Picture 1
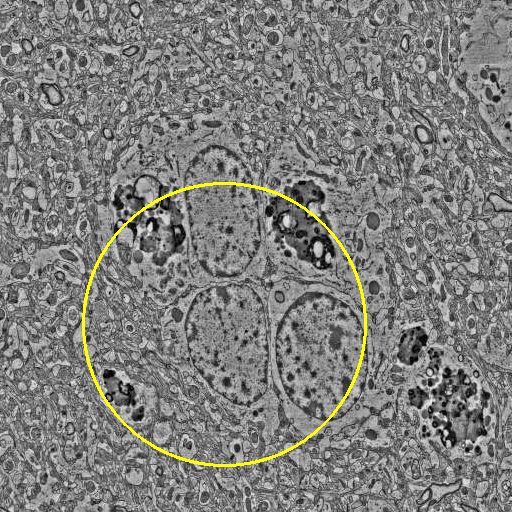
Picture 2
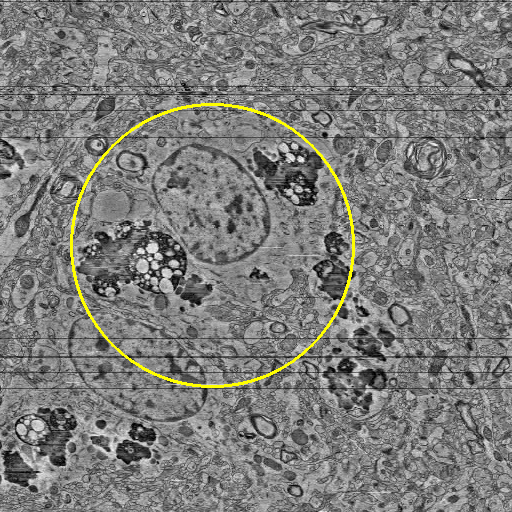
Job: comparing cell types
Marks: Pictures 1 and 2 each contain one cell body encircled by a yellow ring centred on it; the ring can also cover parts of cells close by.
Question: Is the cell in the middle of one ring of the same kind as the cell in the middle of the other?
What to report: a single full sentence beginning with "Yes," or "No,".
Yes, the cell at the ring centre in Picture 1 and its partner in Picture 2 are of one kind.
